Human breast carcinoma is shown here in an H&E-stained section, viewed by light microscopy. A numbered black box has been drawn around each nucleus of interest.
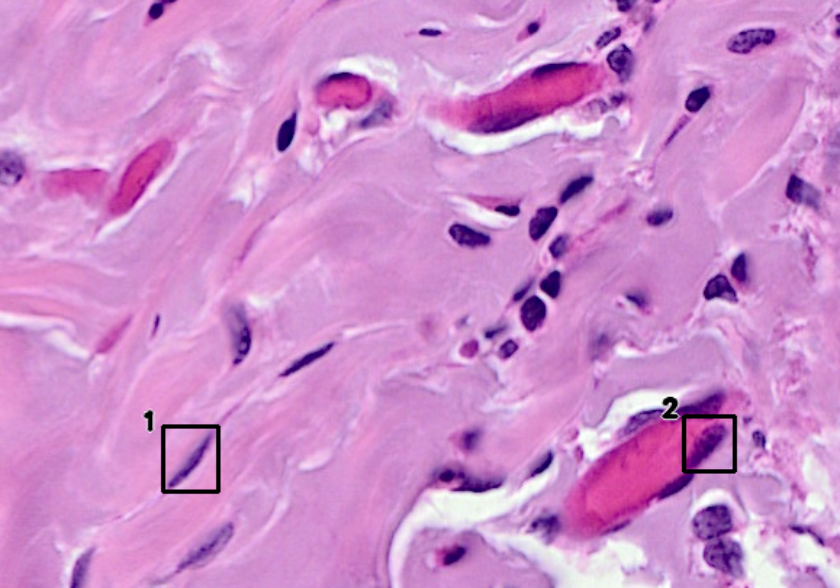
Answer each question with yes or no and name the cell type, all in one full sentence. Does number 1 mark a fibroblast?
Yes, the marked cell numbered 1 is a fibroblast.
